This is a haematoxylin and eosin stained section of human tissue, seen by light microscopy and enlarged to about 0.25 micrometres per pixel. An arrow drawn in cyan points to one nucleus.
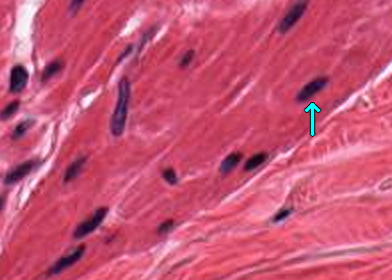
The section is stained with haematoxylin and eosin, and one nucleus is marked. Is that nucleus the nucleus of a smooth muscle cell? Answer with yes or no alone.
yes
